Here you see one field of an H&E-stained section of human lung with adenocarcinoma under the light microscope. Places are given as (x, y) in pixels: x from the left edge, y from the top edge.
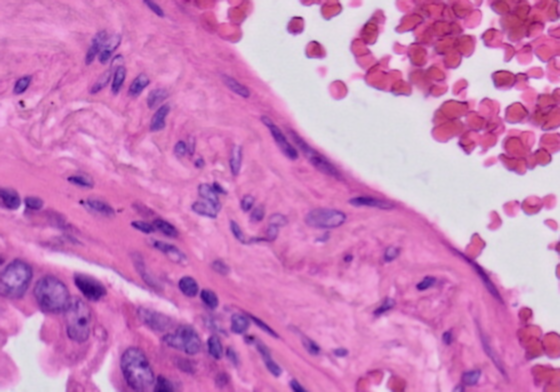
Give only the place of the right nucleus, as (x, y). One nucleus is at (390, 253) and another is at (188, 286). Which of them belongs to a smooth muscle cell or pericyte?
(390, 253)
